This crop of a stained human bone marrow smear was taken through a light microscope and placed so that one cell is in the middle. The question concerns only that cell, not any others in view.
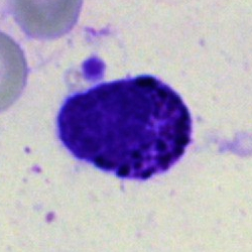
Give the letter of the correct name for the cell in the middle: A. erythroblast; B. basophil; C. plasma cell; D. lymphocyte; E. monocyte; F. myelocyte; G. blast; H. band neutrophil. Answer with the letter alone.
B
